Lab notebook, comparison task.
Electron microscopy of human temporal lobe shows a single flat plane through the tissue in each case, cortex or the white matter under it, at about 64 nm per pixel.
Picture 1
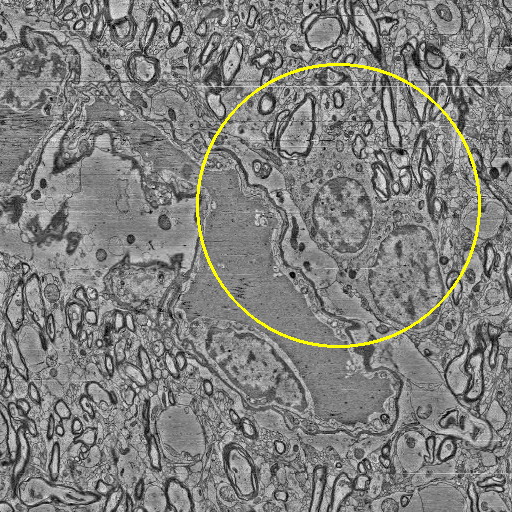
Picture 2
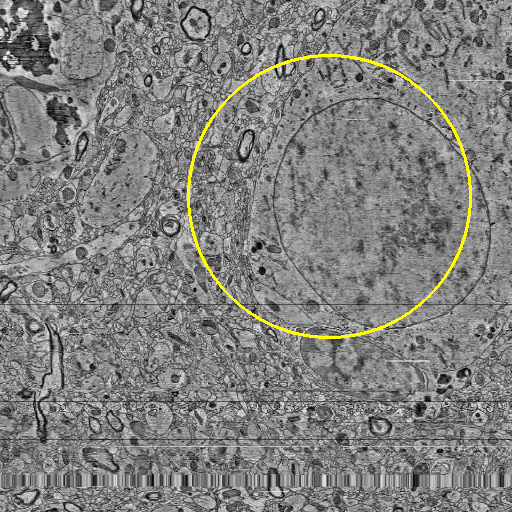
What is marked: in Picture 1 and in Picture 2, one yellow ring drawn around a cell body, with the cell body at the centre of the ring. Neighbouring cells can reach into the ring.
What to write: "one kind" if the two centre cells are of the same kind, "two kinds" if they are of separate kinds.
two kinds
